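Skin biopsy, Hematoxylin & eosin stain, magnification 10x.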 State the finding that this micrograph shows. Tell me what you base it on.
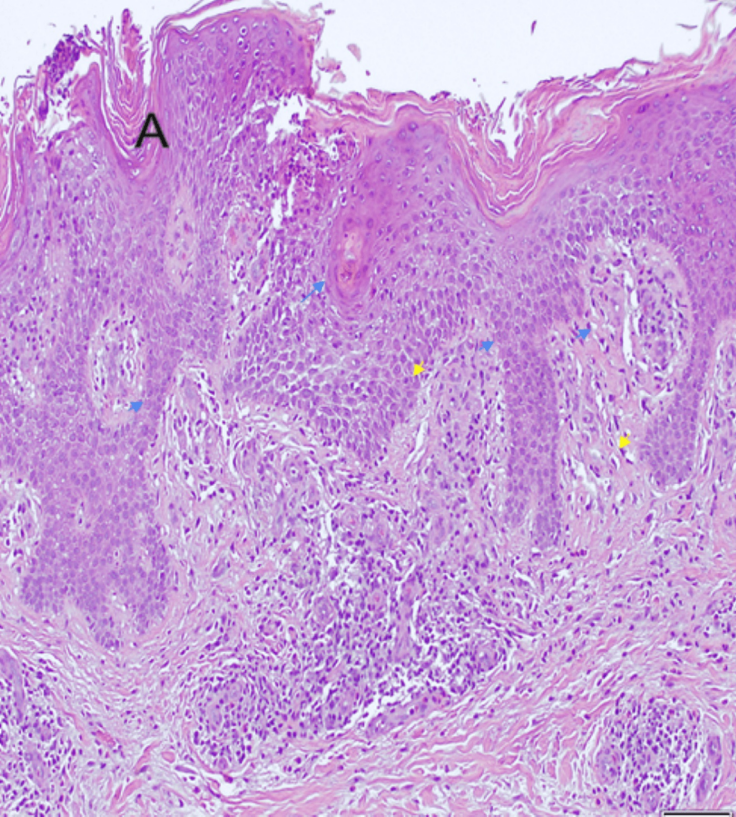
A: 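The surface layer of the epidermis is a pink compact layer rather than a loose basket-weave layer. Small dark nuclear remnants lie within the surface layer in places.
Conclusion: parakeratosis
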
